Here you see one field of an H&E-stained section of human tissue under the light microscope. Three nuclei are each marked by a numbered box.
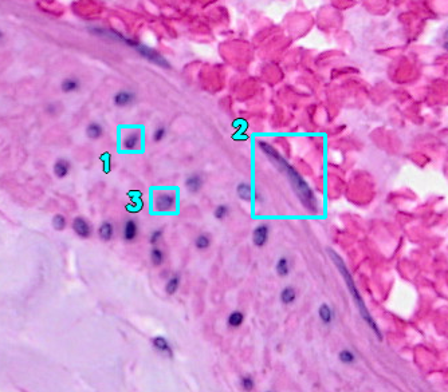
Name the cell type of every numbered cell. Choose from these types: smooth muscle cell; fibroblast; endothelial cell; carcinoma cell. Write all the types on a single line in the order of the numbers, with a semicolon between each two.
smooth muscle cell; endothelial cell; smooth muscle cell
